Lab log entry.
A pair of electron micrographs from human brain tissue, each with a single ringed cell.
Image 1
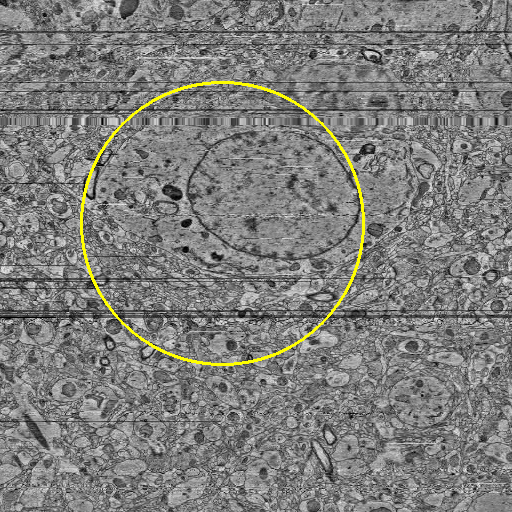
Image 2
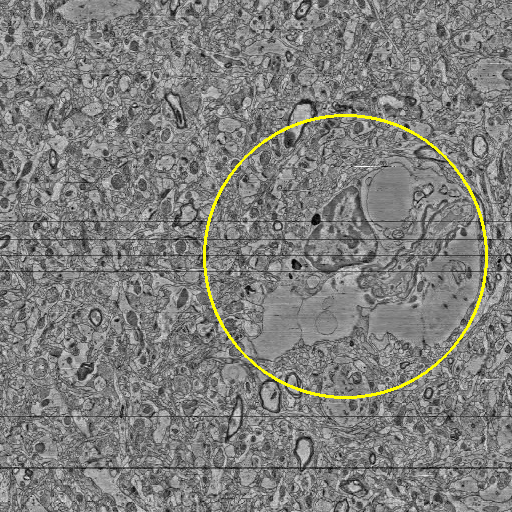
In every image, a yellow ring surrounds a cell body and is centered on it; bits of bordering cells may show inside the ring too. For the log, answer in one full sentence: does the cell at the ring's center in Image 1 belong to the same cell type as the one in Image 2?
No, the cells at the ring centers in Image 1 and Image 2 are of separate types.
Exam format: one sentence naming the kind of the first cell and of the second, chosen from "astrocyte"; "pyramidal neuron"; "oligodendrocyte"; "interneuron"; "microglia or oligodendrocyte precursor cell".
The first picture's cell is a pyramidal neuron, and the second picture's cell is a microglial cell or oligodendrocyte precursor cell.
